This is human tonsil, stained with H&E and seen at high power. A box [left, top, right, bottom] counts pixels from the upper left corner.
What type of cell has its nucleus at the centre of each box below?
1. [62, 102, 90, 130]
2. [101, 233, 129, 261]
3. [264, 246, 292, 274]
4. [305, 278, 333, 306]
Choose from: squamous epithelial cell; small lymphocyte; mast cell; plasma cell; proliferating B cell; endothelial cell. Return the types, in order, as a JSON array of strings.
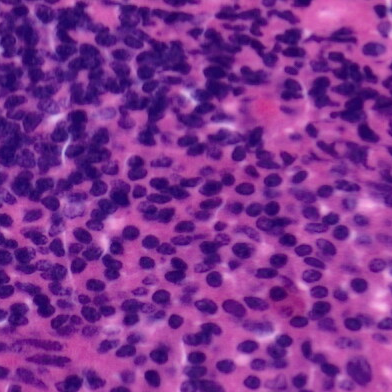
["small lymphocyte", "plasma cell", "plasma cell", "plasma cell"]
